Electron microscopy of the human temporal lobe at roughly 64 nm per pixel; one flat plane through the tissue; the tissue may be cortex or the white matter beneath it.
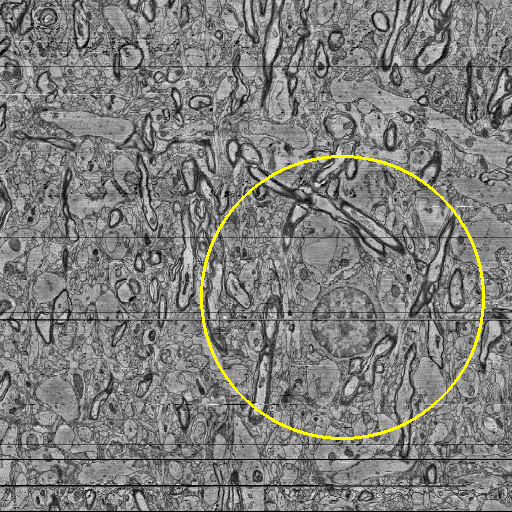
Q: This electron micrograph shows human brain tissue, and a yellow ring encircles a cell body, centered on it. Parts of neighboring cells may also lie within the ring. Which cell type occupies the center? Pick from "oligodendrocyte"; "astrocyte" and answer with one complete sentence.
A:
What sits at the ring's center in this micrograph is an oligodendrocyte, among those choices.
